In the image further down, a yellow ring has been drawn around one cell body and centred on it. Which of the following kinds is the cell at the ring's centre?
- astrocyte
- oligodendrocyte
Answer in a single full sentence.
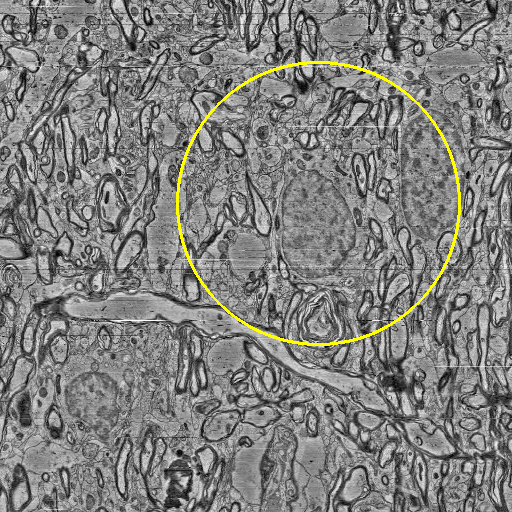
In the picture, the cell sitting at the centre of the yellow ring is an oligodendrocyte.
